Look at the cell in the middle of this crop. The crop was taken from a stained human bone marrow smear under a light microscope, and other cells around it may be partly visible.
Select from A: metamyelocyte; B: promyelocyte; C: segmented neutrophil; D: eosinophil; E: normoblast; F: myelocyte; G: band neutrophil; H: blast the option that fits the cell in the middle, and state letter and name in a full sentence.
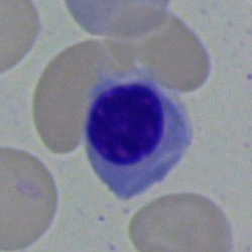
The correct option, E, names the middle cell as a normoblast.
